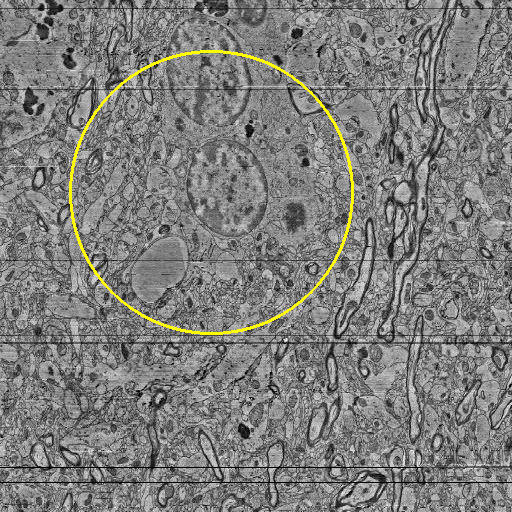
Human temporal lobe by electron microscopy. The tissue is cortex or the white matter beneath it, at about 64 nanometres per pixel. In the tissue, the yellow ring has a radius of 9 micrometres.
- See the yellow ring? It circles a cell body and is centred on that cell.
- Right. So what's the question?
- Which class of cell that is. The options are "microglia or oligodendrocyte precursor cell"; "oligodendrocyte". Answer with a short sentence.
The centre of the ring holds an oligodendrocyte.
